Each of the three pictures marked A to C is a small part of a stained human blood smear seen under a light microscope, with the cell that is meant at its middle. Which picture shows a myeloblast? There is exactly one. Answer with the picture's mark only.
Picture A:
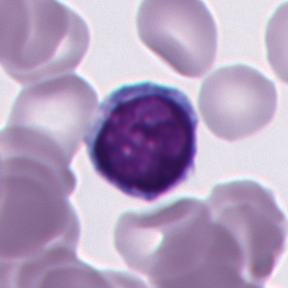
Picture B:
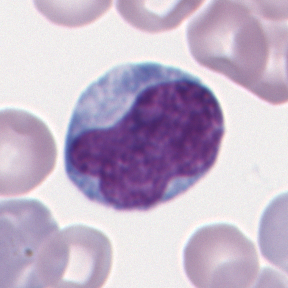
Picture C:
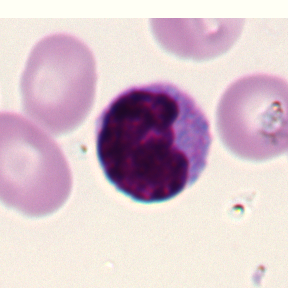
B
